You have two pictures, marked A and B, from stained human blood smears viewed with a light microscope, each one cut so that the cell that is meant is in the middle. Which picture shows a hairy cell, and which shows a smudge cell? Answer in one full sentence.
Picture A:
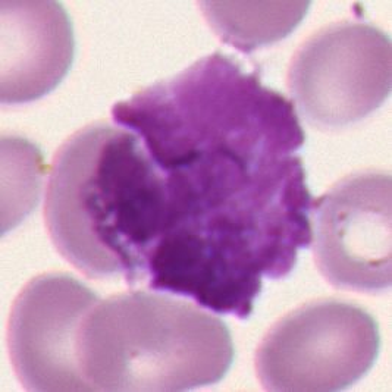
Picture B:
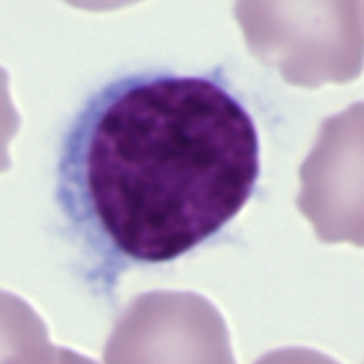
Picture B shows a hairy cell, while picture A shows a smudge cell.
